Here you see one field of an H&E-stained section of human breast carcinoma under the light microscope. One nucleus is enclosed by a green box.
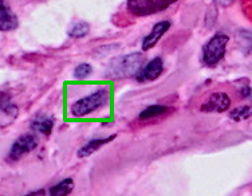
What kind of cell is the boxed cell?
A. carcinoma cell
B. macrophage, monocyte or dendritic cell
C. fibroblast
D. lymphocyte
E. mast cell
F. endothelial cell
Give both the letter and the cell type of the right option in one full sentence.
What option E states, that the boxed cell is a mast cell, is correct.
